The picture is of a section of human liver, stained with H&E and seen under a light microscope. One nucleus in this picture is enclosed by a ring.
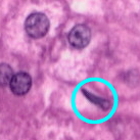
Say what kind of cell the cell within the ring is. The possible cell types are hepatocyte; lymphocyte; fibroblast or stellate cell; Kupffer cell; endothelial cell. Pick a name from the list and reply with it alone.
endothelial cell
